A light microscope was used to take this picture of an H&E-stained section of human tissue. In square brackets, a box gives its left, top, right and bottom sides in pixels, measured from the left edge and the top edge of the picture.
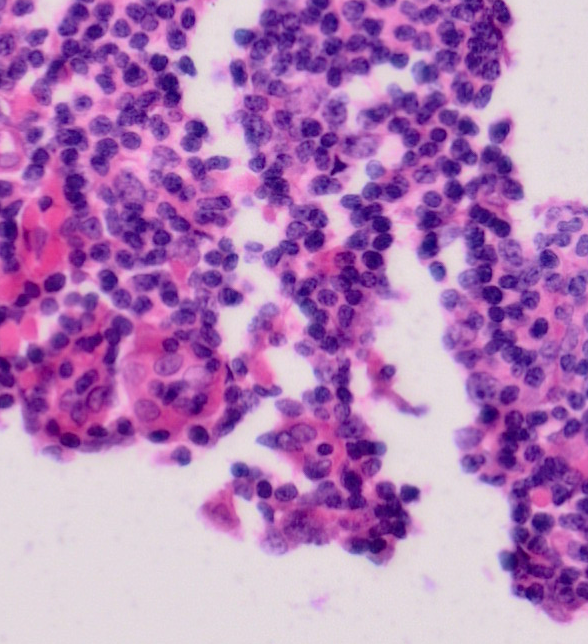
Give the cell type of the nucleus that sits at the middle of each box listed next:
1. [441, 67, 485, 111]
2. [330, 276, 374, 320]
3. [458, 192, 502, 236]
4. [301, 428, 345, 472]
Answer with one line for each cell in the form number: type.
1: small lymphocyte
2: small lymphocyte
3: small lymphocyte
4: endothelial cell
